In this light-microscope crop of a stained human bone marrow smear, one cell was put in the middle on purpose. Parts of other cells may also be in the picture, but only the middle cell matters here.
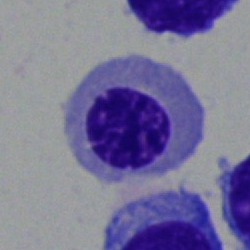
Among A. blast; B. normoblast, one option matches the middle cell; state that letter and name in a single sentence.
At the centre of the crop lies a normoblast, which makes option B correct.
